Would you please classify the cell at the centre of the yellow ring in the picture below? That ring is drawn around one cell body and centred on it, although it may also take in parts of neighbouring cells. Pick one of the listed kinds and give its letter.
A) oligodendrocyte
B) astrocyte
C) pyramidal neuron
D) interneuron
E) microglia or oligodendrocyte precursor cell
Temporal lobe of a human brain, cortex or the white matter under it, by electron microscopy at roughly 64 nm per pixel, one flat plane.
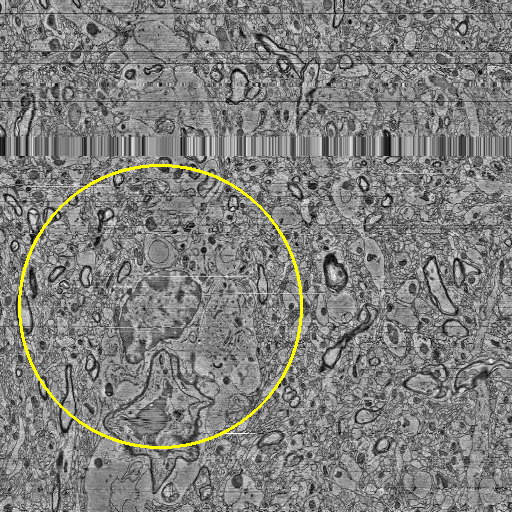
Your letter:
E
